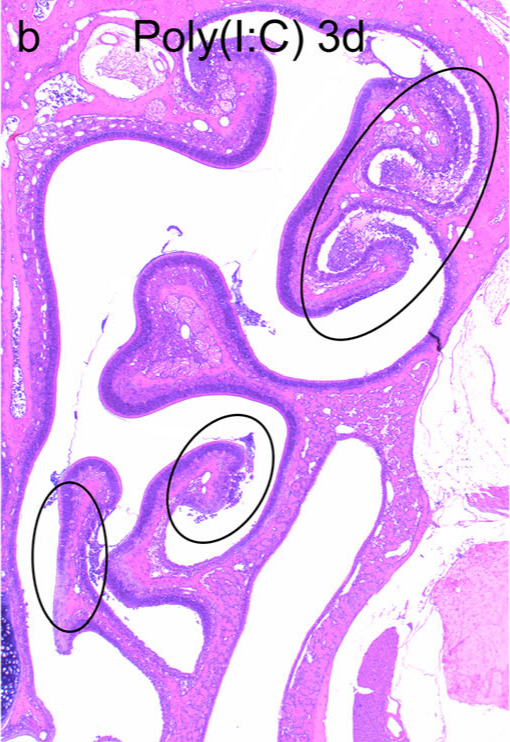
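This section through the nasal cavity shows turbinates whose lining olfactory epithelium is damaged in places. Elsewhere the epithelium still forms a continuous band over connective tissue containing pale glands.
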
